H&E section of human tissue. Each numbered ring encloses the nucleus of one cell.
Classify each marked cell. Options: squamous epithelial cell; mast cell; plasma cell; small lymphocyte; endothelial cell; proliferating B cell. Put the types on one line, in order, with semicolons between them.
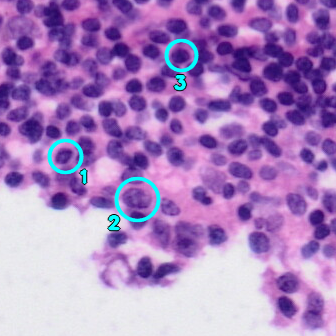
small lymphocyte; proliferating B cell; small lymphocyte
